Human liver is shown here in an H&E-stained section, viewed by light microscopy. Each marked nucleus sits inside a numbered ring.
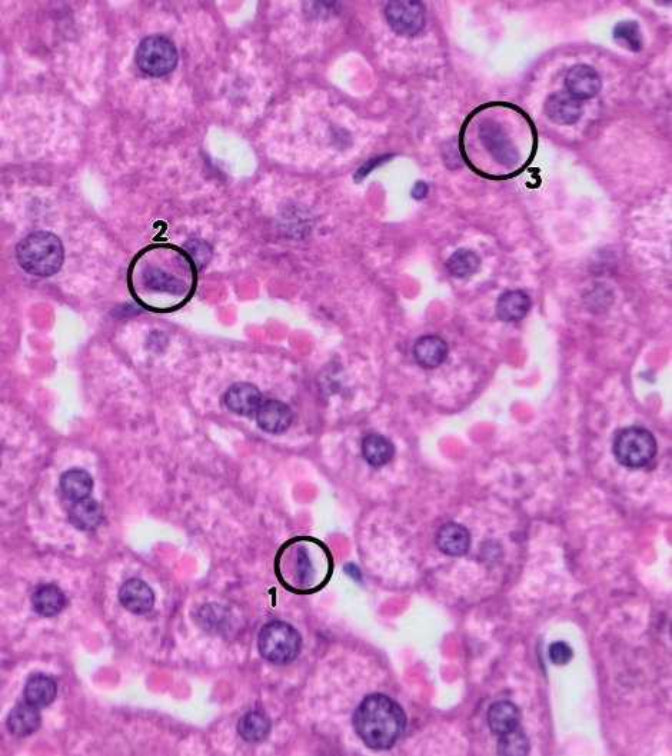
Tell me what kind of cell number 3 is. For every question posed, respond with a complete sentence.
Heads up, the cell numbered 3 is a Kupffer cell.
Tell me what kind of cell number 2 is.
Identified by the number 2, the cell is a Kupffer cell.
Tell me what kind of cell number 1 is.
The cell numbered 1 represents an endothelial cell.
